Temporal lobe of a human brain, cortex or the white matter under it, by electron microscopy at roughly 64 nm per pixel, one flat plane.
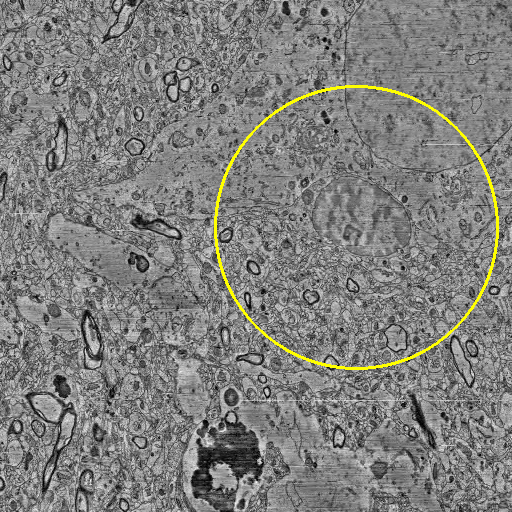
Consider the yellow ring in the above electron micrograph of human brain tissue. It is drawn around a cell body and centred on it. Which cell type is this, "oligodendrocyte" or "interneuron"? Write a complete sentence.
The cell in question is an oligodendrocyte.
